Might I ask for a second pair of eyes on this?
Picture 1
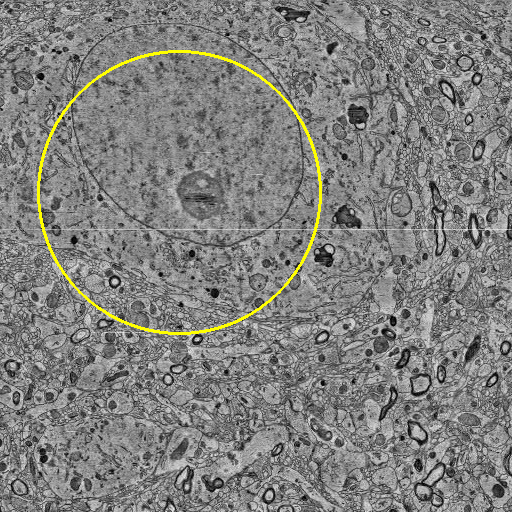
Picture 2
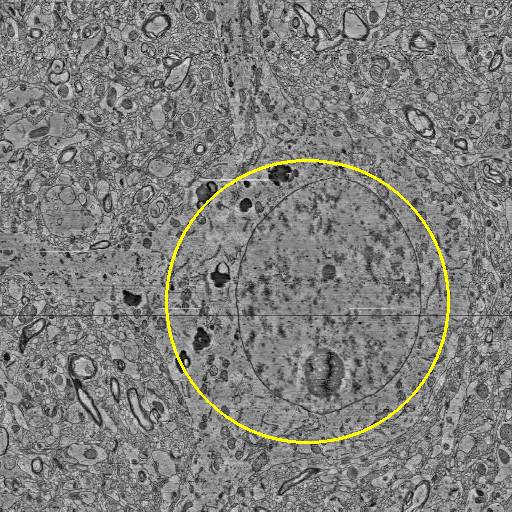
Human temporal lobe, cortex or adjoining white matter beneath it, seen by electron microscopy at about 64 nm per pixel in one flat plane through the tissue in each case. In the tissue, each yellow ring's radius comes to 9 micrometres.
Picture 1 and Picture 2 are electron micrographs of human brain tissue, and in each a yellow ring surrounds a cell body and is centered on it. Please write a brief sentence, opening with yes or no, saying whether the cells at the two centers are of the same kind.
Yes, the cells are of the same kind.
